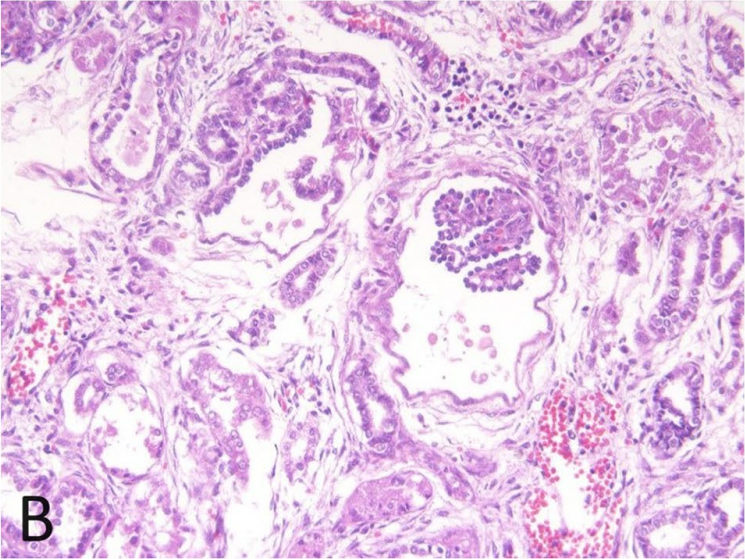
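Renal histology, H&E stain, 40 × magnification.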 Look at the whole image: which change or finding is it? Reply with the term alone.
Dilatation of Bowman’s capsule.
